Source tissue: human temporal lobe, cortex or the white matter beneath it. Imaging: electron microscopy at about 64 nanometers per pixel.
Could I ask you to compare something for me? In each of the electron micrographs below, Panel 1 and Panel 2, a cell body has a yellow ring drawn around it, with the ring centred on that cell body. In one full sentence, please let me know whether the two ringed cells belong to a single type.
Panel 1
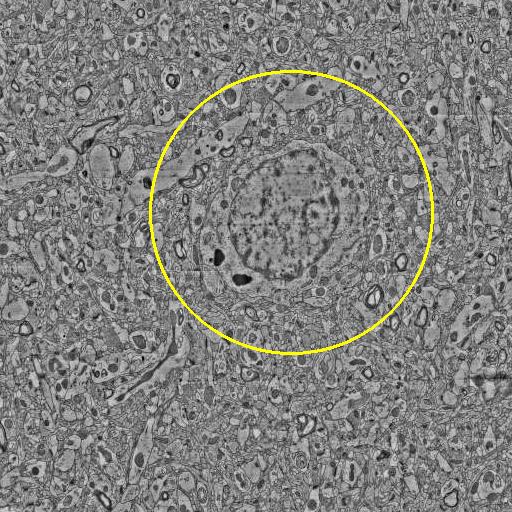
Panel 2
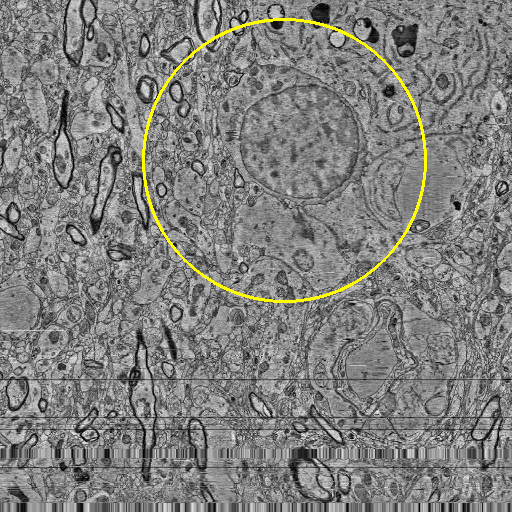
No, the two cells at the centres of the rings are of two types.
